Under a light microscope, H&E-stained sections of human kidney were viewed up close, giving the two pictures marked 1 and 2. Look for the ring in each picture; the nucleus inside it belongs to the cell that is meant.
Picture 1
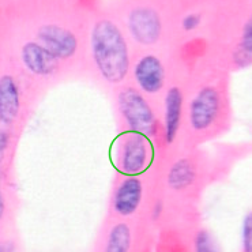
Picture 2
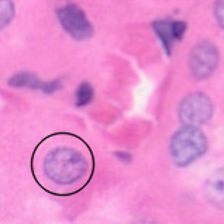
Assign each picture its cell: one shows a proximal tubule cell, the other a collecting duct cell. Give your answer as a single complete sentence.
Picture 1 shows a collecting duct cell and picture 2 shows a proximal tubule cell.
